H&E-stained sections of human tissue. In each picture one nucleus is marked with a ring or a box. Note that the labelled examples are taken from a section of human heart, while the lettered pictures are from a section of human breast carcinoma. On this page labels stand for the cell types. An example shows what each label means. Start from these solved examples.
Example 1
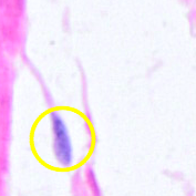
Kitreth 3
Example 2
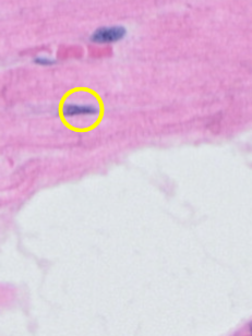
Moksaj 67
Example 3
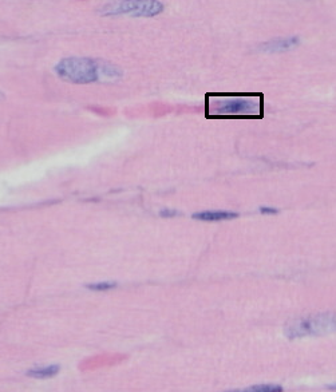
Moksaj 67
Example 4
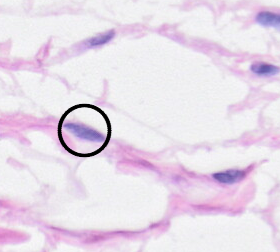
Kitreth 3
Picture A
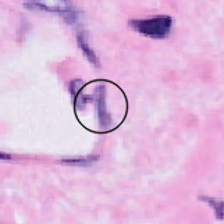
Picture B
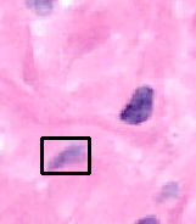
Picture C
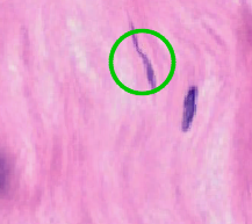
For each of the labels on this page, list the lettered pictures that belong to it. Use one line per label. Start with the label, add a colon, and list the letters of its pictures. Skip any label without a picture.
Kitreth 3: B, C
Moksaj 67: A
